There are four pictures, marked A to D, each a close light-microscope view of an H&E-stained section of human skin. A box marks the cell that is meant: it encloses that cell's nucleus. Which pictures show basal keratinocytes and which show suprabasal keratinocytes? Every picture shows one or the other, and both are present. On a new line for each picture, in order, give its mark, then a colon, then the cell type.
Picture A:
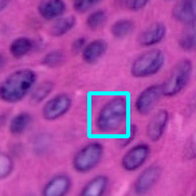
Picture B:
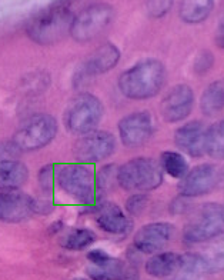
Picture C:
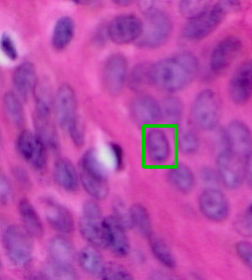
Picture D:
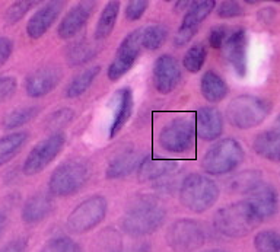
A: suprabasal keratinocyte
B: basal keratinocyte
C: basal keratinocyte
D: basal keratinocyte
